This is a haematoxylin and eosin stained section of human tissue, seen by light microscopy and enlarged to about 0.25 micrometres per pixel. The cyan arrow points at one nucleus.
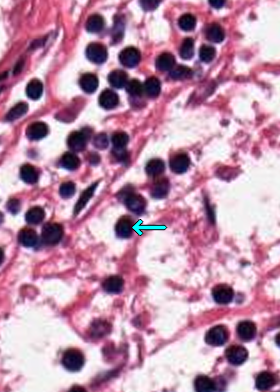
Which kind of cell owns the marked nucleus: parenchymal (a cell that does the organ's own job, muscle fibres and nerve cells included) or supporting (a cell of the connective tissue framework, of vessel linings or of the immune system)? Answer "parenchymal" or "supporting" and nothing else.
supporting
